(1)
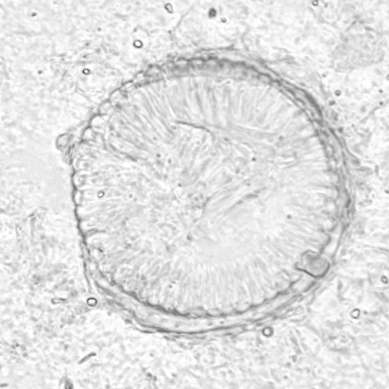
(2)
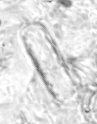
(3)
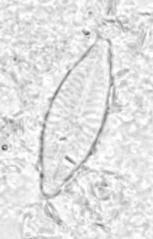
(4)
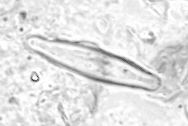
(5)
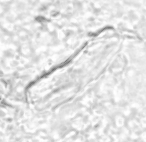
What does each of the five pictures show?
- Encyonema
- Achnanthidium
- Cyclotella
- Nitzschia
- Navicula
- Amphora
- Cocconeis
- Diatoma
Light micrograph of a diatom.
Picture 1: Cyclotella
Picture 2: Nitzschia
Picture 3: Navicula
Picture 4: Achnanthidium
Picture 5: Achnanthidium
